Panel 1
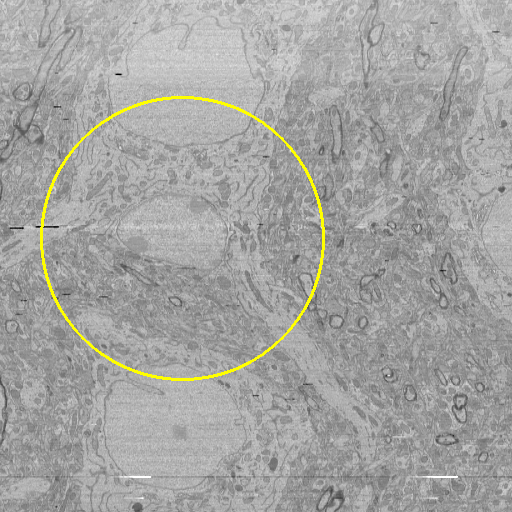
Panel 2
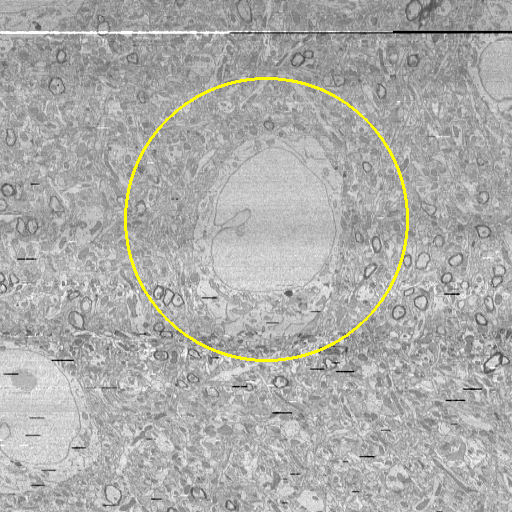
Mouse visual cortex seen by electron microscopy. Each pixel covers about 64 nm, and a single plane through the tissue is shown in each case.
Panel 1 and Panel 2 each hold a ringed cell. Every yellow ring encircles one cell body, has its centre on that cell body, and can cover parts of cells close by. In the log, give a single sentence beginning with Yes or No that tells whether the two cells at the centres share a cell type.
No, in Panel 1 and Panel 2 the centred cells are of two cell types.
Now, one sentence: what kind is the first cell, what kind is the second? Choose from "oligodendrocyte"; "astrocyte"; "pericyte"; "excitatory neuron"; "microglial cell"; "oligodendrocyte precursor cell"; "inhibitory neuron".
The first picture has an astrocyte at its ring centre, and the second has an excitatory neuron.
